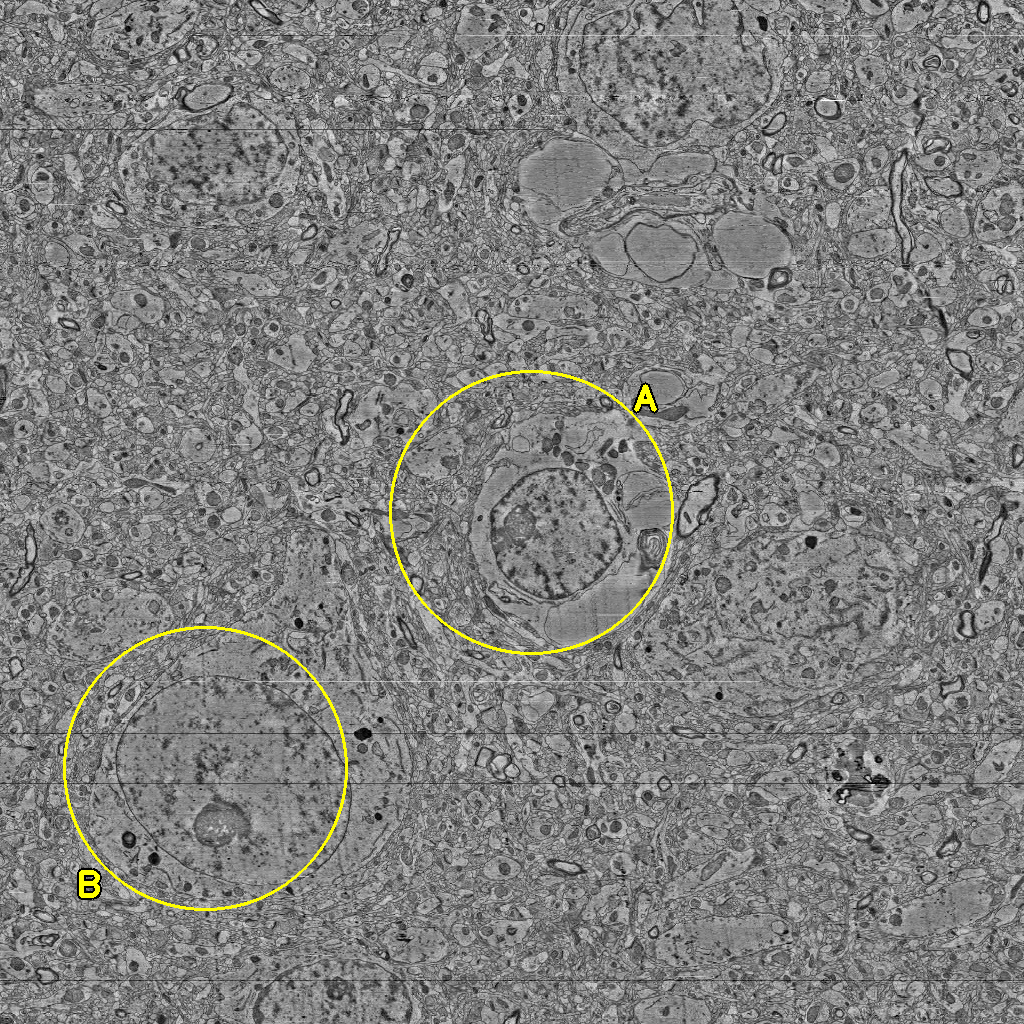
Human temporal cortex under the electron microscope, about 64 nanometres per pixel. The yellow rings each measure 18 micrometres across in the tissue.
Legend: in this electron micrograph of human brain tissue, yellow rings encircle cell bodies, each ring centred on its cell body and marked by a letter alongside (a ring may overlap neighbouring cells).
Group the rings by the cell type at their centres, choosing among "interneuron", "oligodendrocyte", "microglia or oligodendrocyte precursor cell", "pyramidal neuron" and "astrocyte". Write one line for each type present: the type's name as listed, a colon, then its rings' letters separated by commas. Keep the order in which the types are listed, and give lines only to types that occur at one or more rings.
pyramidal neuron: B
astrocyte: A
